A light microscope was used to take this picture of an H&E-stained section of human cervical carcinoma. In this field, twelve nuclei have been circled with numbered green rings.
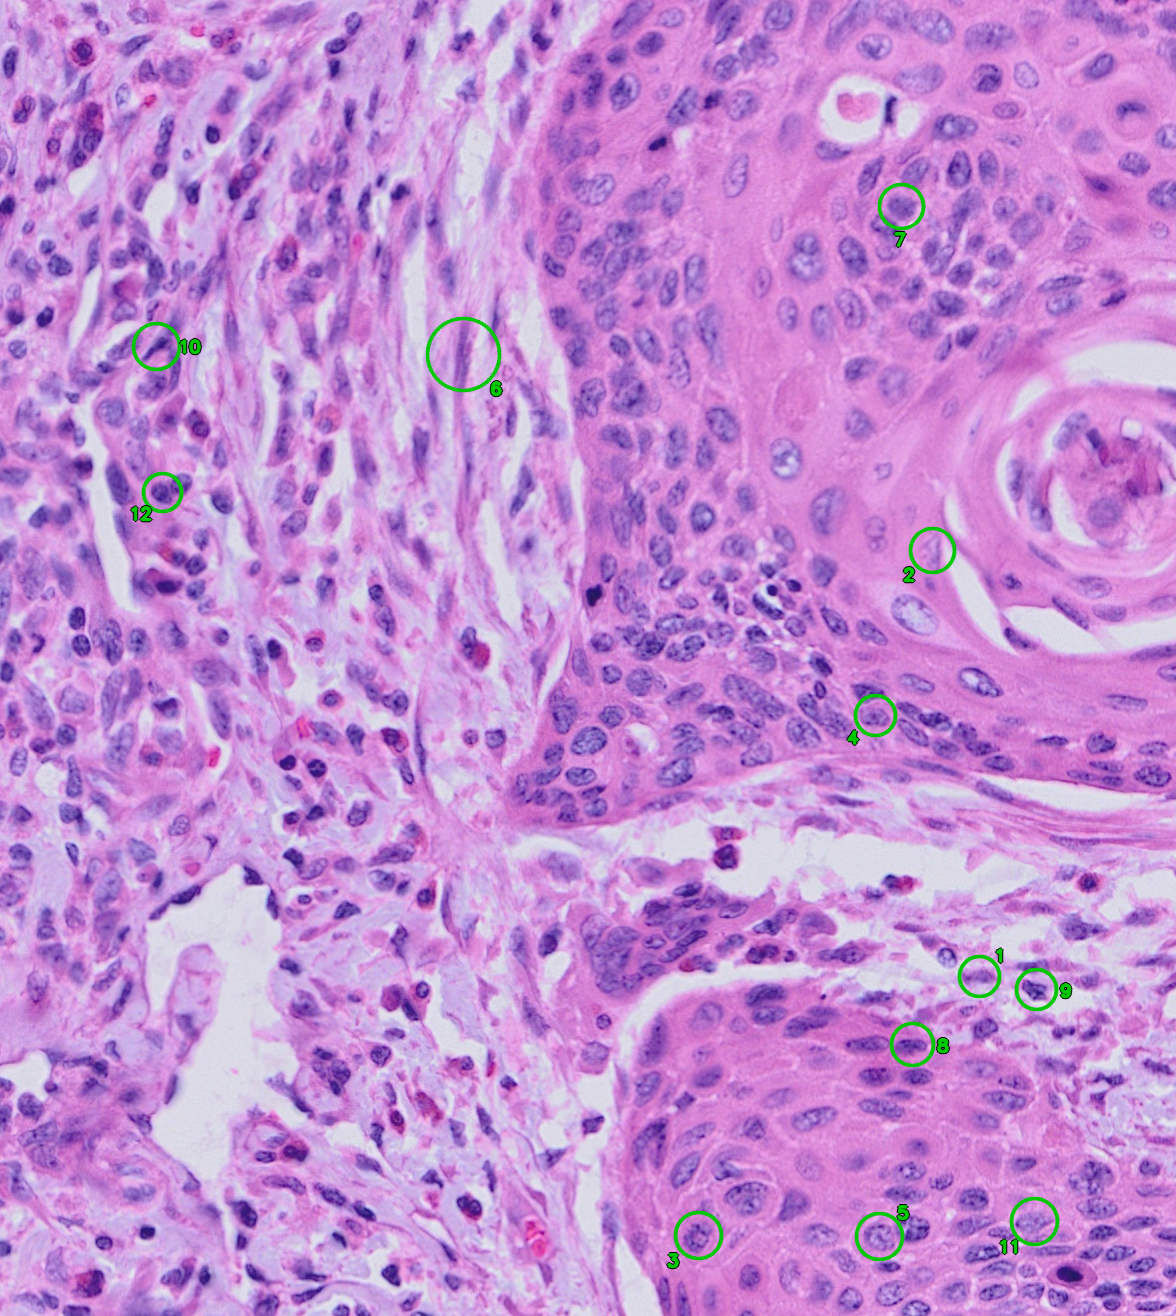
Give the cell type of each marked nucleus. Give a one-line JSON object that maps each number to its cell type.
{"1": "fibroblast", "2": "squamous carcinoma cell", "3": "squamous carcinoma cell", "4": "squamous carcinoma cell", "5": "squamous carcinoma cell", "6": "fibroblast", "7": "squamous carcinoma cell", "8": "squamous carcinoma cell", "9": "lymphocyte", "10": "lymphocyte", "11": "squamous carcinoma cell", "12": "lymphocyte"}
